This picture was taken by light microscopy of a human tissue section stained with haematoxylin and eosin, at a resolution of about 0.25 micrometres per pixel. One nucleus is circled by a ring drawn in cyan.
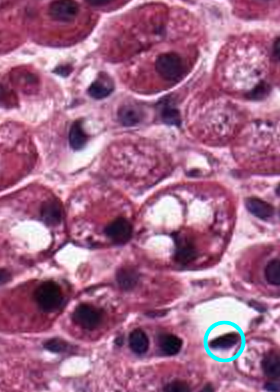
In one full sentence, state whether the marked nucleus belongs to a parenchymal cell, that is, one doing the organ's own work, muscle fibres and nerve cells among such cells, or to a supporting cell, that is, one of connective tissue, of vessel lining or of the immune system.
A supporting cell is the owner of the marked nucleus.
